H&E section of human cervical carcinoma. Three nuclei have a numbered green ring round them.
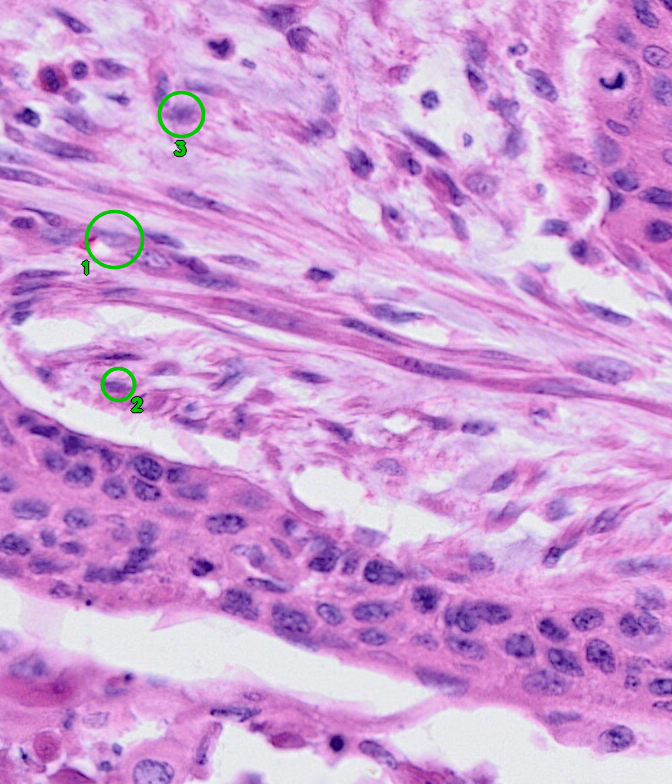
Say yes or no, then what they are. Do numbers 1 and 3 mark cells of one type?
No, cell 1 here is an endothelial cell, and cell 3 here is a fibroblast.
